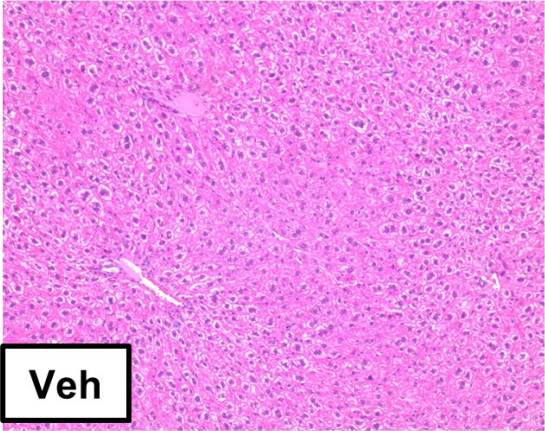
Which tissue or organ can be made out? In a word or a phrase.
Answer: Liver tissue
